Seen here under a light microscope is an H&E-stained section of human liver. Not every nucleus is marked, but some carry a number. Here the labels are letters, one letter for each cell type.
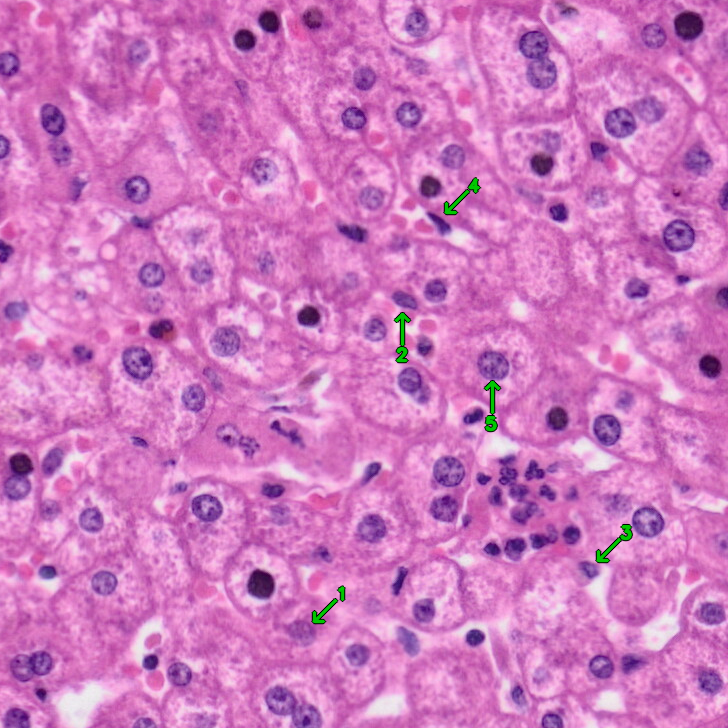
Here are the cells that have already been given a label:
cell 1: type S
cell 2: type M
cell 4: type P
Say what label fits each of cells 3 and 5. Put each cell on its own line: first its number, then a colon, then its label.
3: type M
5: type S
